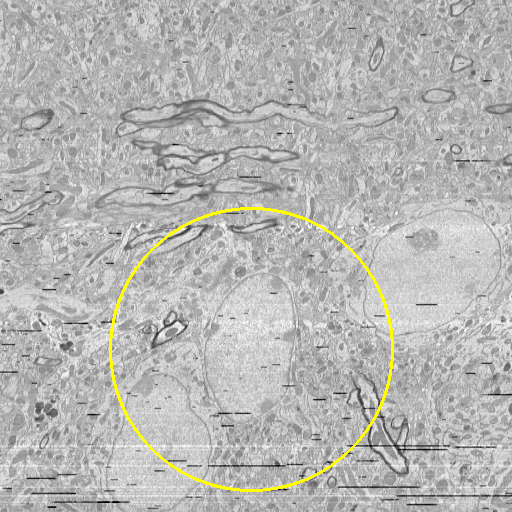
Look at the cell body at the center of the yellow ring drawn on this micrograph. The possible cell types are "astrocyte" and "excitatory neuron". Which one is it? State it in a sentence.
The cell in the middle of the ring is an astrocyte.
